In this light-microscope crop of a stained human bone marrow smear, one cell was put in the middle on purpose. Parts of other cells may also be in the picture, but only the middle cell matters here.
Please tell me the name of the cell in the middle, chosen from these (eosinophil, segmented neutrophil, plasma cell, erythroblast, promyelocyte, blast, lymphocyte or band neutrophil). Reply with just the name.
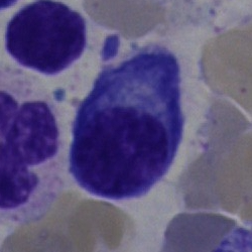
plasma cell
